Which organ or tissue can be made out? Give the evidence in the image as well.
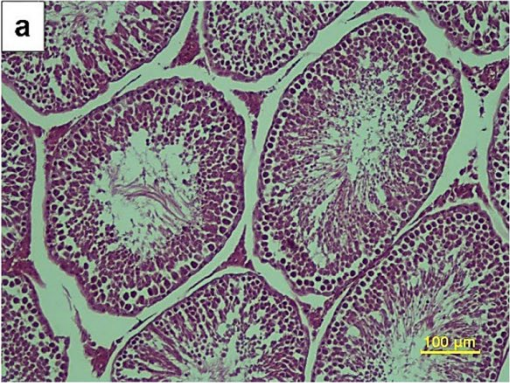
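Round to oval tubule cross-sections packed side by side. Each tubule is lined by a thick layered epithelium of purple nuclei. Tubule centres hold pale fibrillar tails. That points to this answer: testis.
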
